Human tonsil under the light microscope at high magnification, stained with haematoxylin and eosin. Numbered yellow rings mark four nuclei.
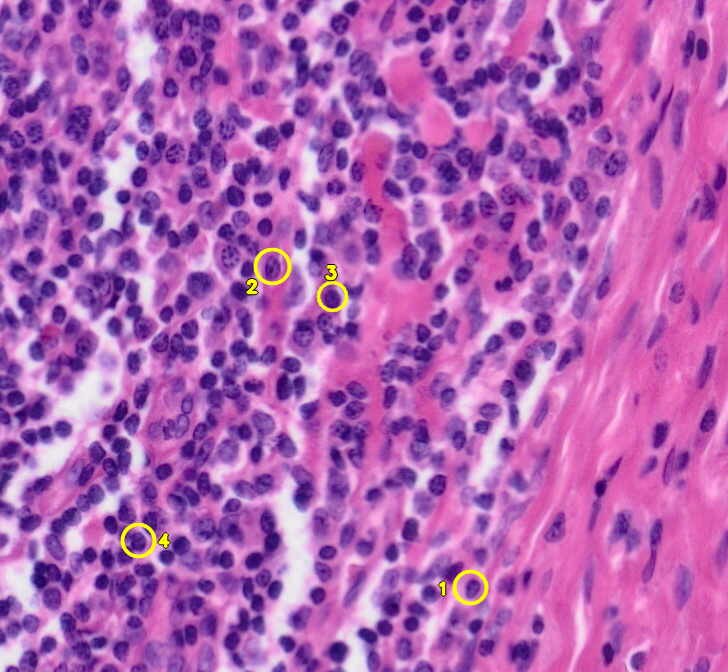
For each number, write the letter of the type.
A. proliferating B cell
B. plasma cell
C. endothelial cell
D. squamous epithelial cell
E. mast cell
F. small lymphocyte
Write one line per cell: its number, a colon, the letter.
1: E
2: B
3: B
4: F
